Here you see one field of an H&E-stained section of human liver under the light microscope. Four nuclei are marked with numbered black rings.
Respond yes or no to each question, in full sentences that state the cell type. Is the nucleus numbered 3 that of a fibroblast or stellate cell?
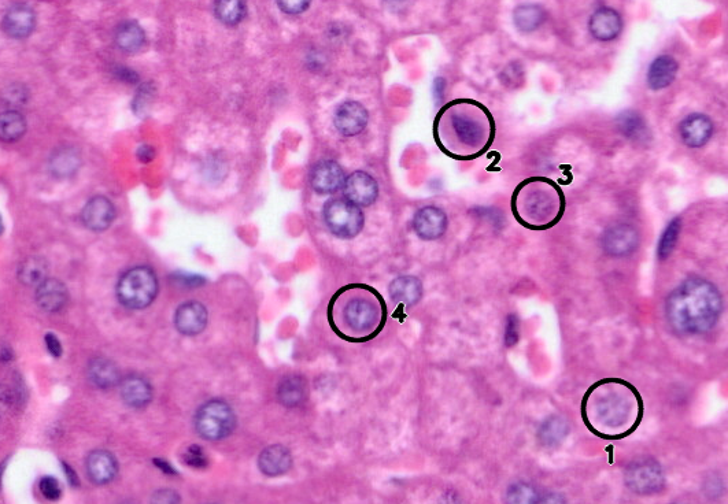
No, number 3 identifies a hepatocyte, not a fibroblast or stellate cell.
